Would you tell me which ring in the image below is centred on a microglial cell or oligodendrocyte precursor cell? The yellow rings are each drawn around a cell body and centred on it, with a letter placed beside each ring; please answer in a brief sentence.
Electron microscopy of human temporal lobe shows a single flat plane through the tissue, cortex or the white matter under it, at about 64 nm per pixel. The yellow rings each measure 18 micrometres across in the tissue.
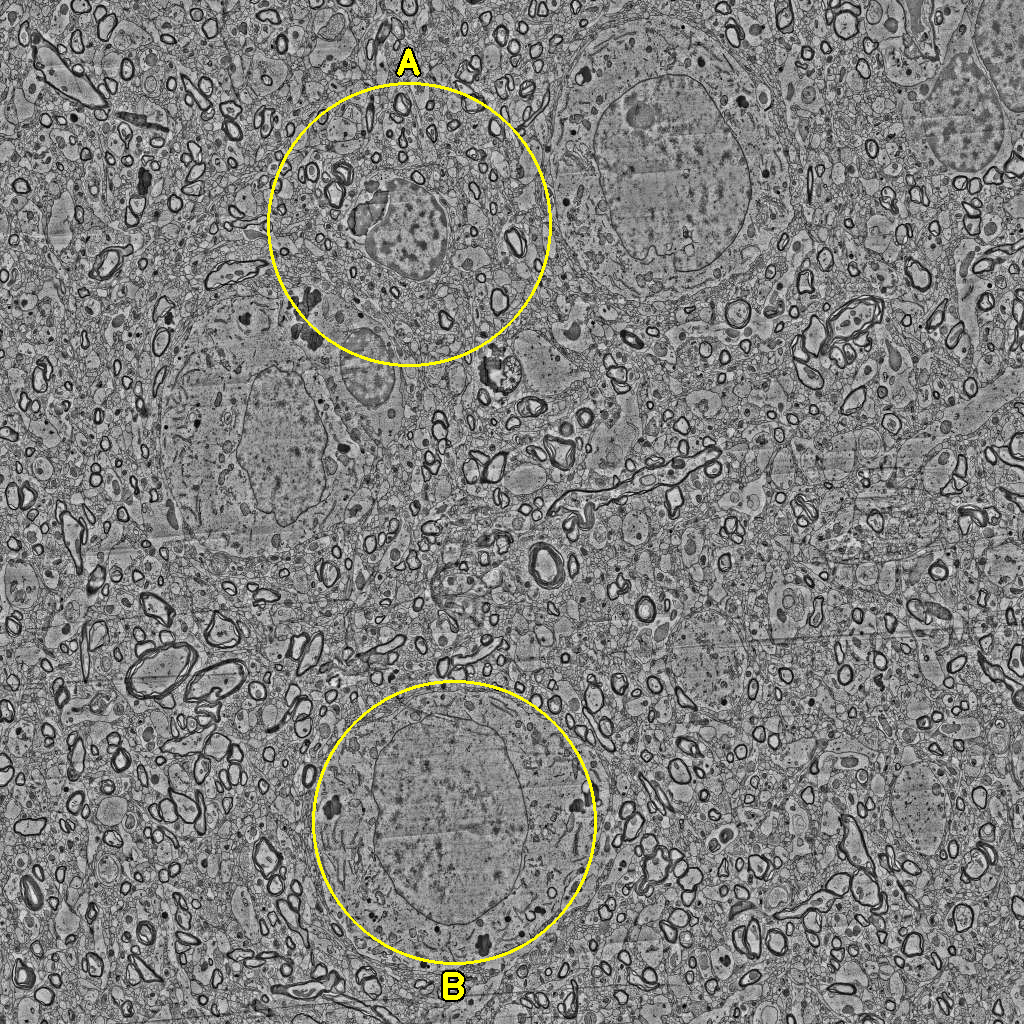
Ring A is centred on it.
